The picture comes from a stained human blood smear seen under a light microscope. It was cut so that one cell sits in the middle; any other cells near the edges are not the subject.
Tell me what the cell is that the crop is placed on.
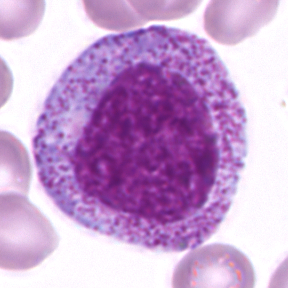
myelocyte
